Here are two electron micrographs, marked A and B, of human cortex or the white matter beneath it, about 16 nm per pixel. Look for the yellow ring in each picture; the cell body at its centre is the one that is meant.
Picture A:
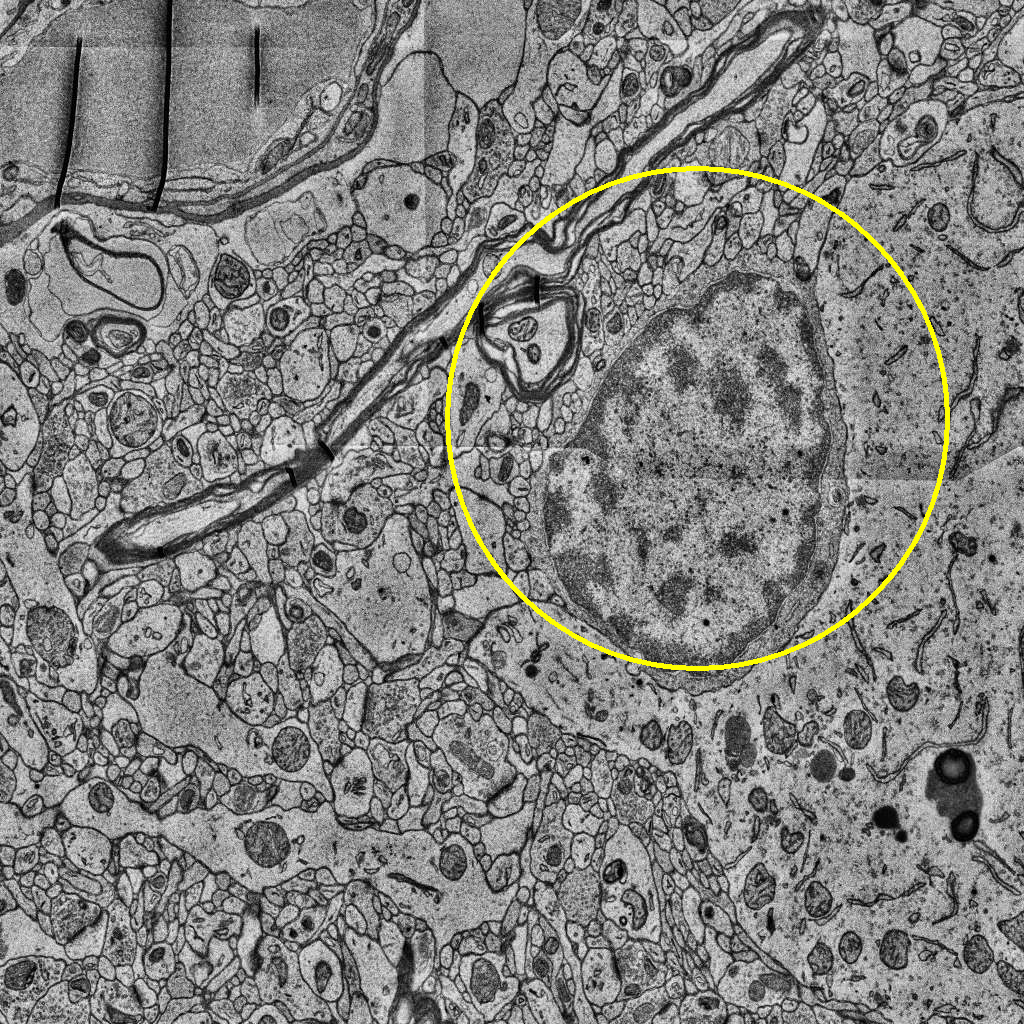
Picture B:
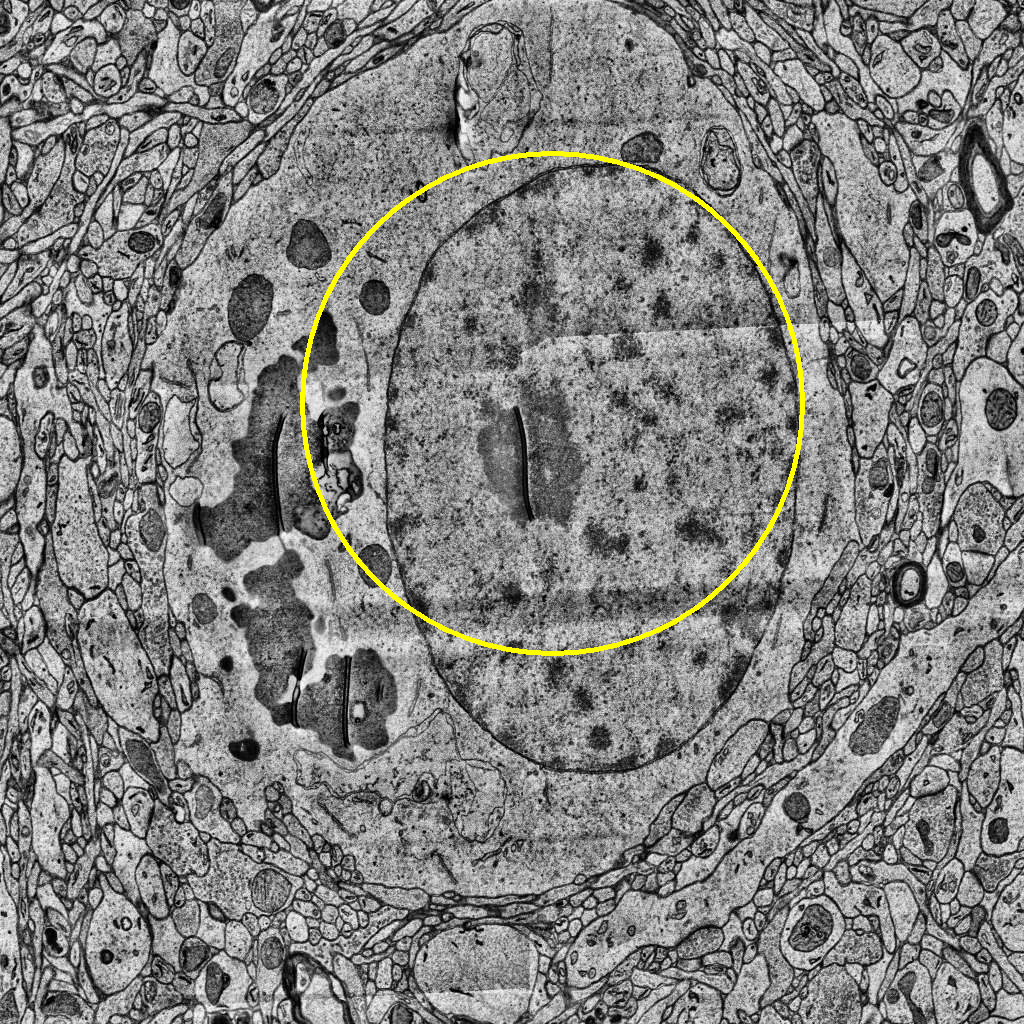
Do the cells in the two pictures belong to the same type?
No, they differ: the cell is an oligodendrocyte in picture A and an astrocyte in picture B.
